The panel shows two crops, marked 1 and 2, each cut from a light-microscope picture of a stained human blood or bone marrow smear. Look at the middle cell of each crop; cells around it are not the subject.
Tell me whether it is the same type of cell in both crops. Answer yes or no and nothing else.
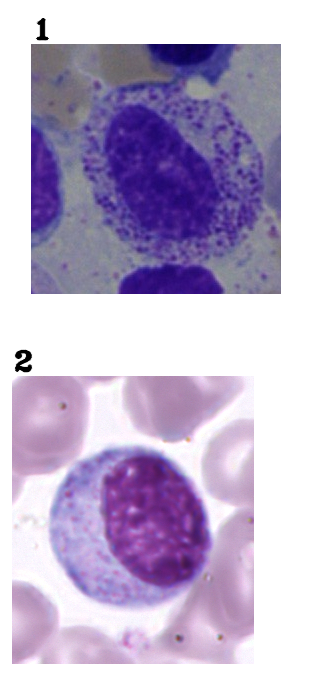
yes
